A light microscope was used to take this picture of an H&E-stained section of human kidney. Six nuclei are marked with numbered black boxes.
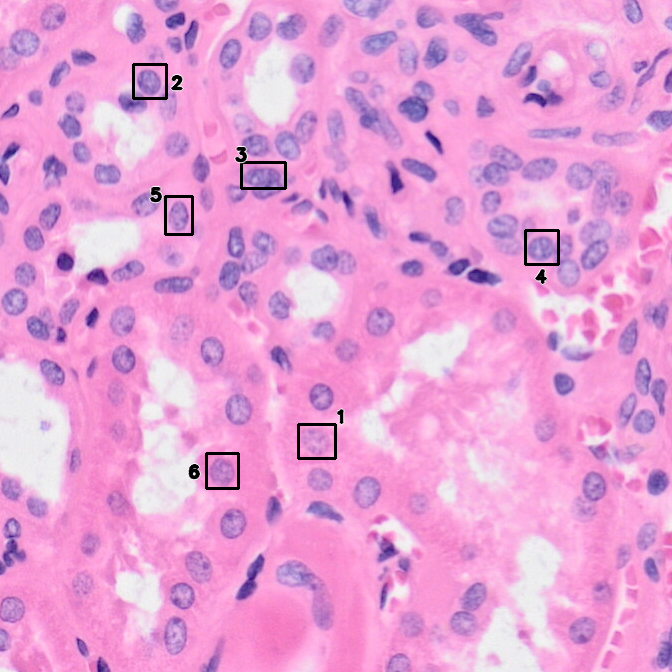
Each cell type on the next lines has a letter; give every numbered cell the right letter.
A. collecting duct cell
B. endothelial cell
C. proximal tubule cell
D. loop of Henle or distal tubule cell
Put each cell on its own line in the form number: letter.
1: C
2: A
3: A
4: A
5: A
6: C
